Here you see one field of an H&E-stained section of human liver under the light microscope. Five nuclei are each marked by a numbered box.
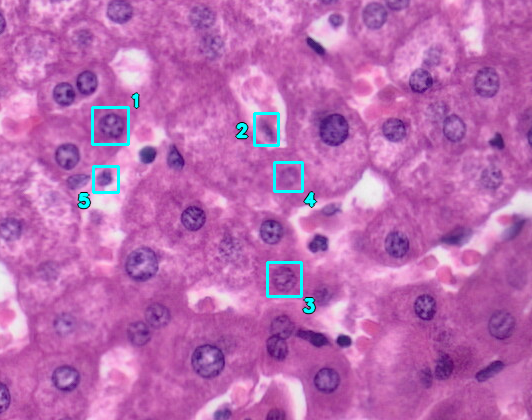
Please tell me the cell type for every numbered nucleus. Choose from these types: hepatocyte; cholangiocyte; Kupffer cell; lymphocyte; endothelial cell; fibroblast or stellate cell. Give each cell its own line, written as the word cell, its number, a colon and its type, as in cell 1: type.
cell 1: hepatocyte
cell 2: Kupffer cell
cell 3: hepatocyte
cell 4: hepatocyte
cell 5: lymphocyte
